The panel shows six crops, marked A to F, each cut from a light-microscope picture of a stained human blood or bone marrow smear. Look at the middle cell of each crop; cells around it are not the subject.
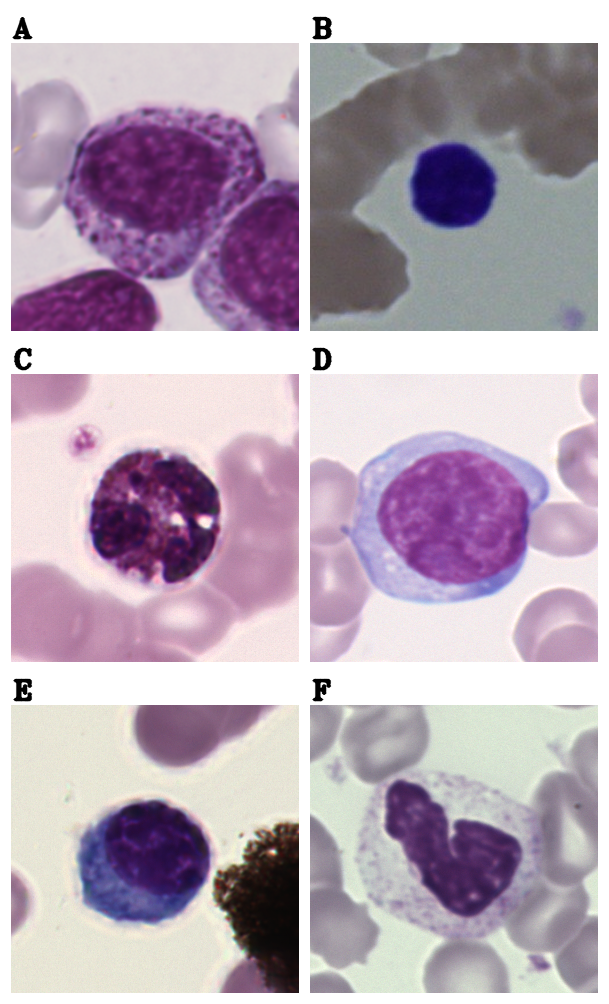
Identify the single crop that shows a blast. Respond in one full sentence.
The cell identified as a blast is the one in crop D.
